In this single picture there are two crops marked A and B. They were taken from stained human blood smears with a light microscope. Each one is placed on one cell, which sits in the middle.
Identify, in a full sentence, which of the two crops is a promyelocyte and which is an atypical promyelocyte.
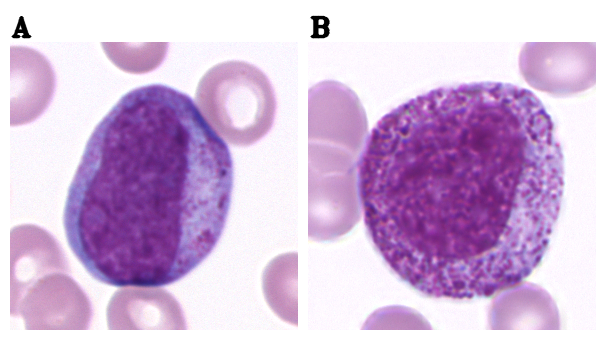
Crop A is to be labelled an atypical promyelocyte, and crop B a promyelocyte.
